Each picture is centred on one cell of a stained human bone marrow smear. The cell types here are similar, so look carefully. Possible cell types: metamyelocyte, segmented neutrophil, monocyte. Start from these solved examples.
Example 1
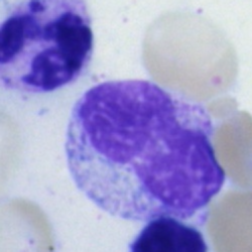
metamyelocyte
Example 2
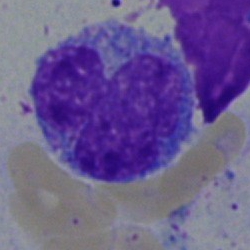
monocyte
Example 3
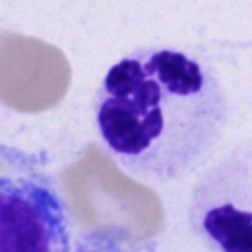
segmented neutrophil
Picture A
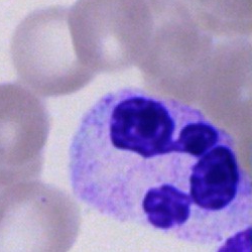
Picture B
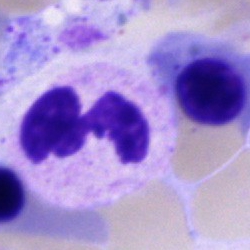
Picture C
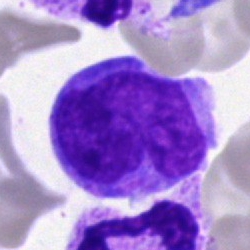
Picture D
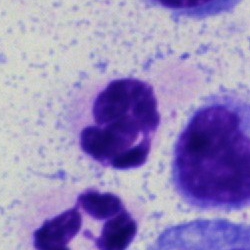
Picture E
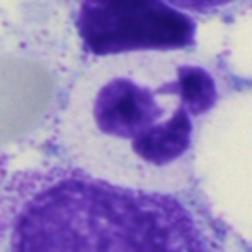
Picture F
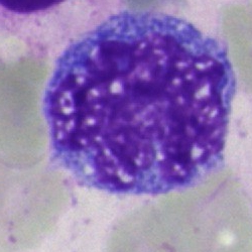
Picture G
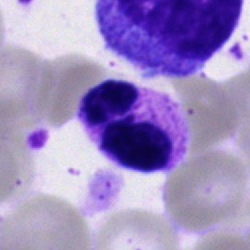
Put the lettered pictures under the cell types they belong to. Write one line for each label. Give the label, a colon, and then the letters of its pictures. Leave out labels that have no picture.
segmented neutrophil: A, B, D, E, G
monocyte: C, F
